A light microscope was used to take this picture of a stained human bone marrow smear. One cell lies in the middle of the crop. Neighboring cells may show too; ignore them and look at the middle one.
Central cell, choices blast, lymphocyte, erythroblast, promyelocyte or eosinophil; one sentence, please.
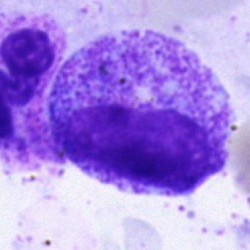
Located at the centre of the crop is a promyelocyte.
